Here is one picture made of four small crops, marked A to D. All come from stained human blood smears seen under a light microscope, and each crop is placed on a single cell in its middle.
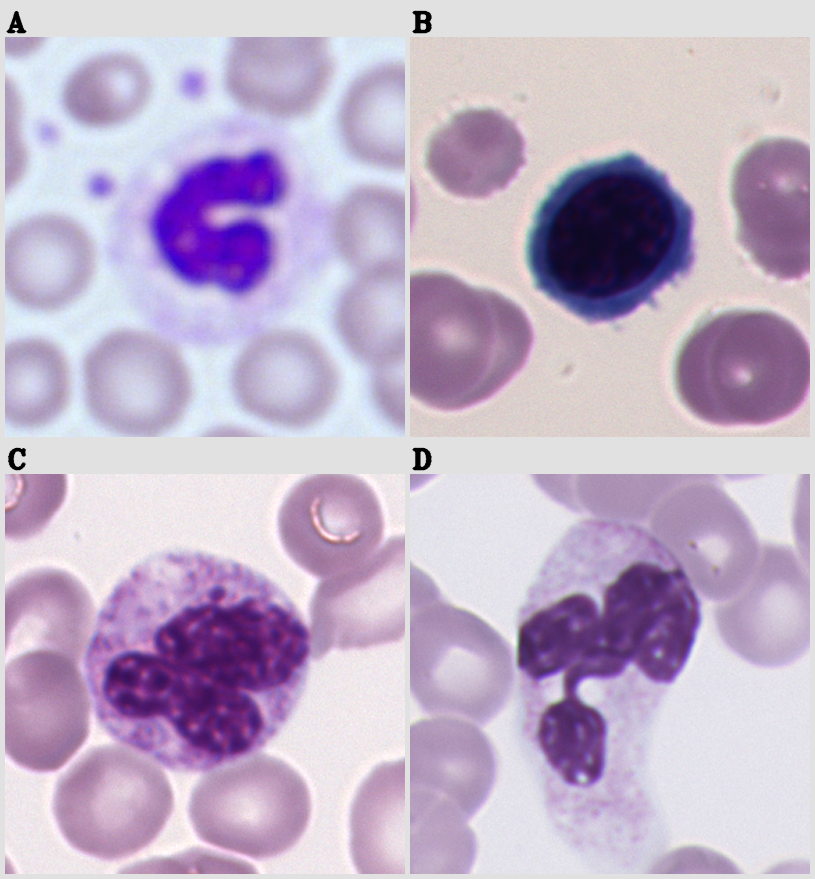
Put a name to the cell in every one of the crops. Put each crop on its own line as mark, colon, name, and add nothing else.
A: band neutrophil
B: erythroblast
C: segmented neutrophil
D: segmented neutrophil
